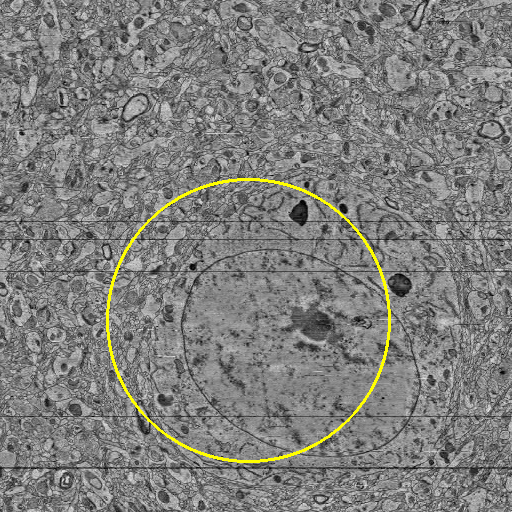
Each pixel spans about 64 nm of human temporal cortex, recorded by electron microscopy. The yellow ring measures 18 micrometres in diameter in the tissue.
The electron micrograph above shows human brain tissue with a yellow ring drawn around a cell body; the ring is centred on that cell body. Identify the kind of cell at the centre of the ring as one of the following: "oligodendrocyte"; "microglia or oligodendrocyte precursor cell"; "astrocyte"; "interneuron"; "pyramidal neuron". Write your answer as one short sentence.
The cell at the centre of the ring is a pyramidal neuron.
